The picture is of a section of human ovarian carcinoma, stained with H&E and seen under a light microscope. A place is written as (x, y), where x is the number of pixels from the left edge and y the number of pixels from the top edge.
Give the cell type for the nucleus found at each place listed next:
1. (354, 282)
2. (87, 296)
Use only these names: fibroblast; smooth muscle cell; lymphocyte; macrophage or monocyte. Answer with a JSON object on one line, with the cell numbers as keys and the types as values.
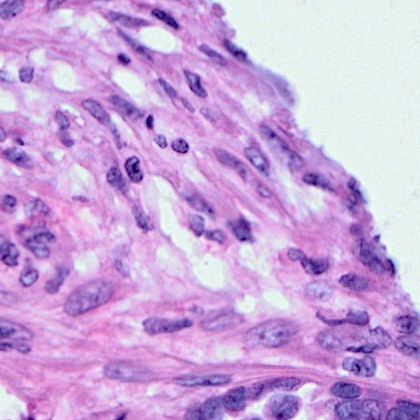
{"1": "macrophage or monocyte", "2": "fibroblast"}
